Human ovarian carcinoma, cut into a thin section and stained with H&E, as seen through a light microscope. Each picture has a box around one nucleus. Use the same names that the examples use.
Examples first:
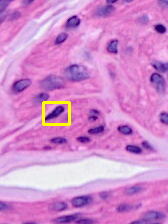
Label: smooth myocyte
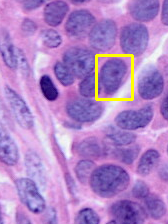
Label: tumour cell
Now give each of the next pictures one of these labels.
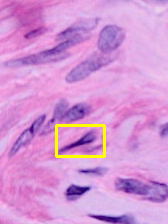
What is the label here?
smooth myocyte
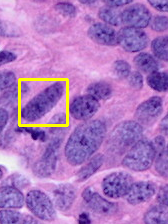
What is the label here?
tumour cell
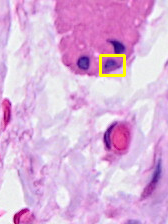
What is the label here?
smooth myocyte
